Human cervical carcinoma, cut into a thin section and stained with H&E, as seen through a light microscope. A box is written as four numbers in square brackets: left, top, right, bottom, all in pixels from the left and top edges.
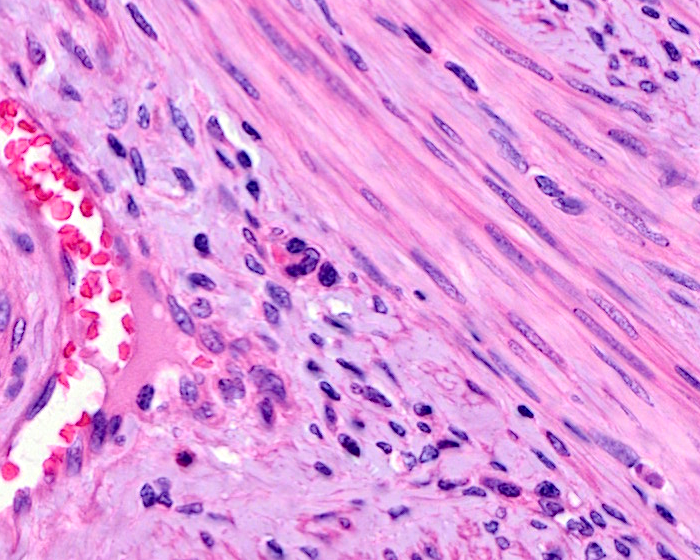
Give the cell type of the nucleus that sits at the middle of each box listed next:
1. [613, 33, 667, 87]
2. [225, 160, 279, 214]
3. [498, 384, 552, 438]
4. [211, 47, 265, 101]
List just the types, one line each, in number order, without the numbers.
smooth muscle cell
lymphocyte
lymphocyte
smooth muscle cell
